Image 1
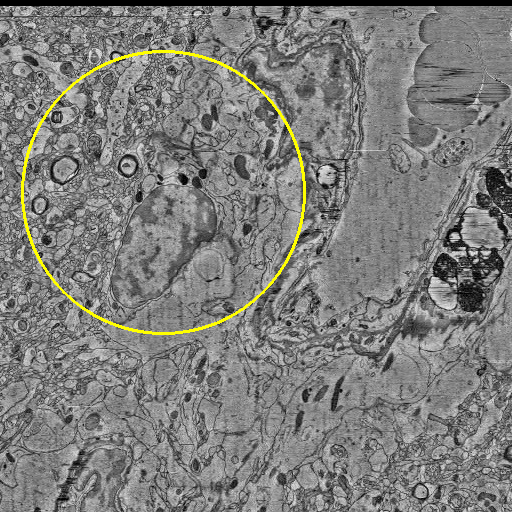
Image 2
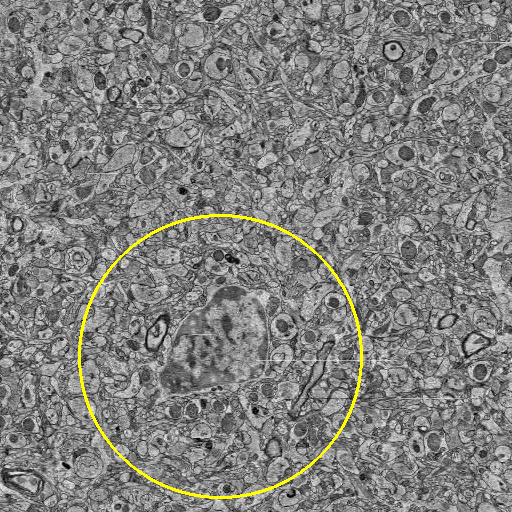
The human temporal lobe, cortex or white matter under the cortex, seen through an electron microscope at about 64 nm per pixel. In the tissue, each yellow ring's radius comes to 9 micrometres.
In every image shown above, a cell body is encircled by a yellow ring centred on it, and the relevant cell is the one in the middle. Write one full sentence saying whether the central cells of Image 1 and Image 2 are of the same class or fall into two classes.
The cell at the ring's centre in Image 1 and its counterpart in Image 2 are of the same class.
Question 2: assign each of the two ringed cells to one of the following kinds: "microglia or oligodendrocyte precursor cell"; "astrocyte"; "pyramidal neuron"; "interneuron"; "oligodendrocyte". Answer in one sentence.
The cell at the ring centre is a microglial cell or oligodendrocyte precursor cell in both pictures.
